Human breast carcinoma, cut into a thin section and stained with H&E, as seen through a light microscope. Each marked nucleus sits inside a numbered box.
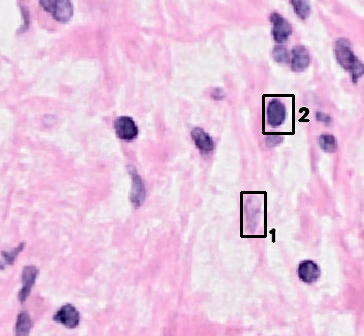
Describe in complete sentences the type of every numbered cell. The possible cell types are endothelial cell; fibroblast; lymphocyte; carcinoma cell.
Cell 1 is a fibroblast. Cell 2 is a lymphocyte.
